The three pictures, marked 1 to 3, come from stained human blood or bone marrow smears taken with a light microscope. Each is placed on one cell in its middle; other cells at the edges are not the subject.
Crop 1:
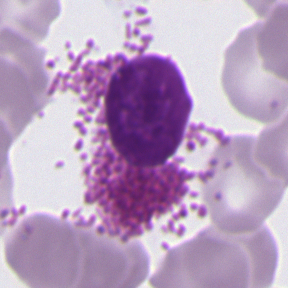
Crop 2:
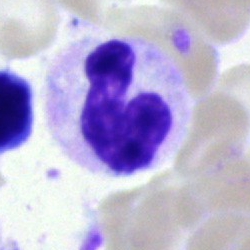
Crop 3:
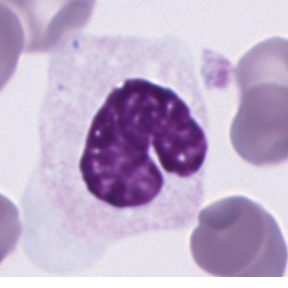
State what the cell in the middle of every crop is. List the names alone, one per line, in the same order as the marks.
eosinophil
band neutrophil
band neutrophil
